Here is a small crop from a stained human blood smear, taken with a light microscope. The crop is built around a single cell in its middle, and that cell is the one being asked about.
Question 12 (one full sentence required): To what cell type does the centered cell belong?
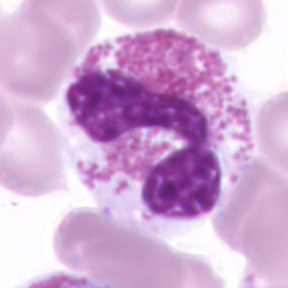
This particular crop is centered on an eosinophil.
